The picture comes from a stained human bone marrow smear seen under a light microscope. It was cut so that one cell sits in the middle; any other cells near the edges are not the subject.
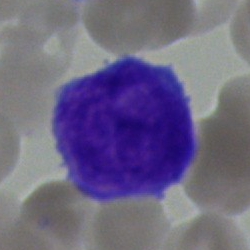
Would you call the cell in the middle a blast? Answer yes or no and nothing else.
yes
